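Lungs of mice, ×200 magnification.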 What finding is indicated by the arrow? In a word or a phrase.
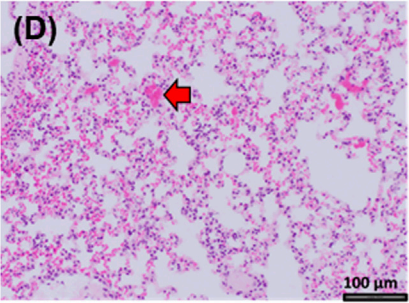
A: capillary congestion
